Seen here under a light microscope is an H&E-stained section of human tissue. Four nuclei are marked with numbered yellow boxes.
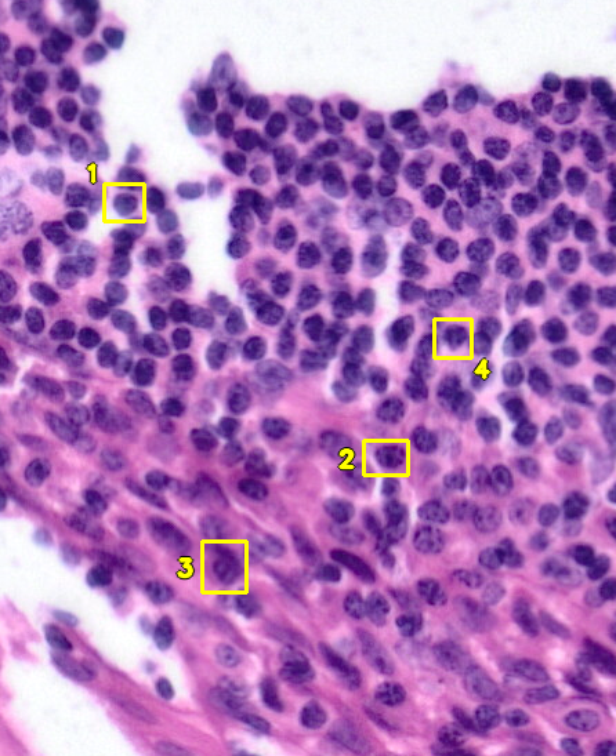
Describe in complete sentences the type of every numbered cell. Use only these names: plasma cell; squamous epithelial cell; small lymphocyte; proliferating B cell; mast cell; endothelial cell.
Cells 1 and 4 are small lymphocytes. Cell 2 is a plasma cell. Cell 3 is a squamous epithelial cell.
